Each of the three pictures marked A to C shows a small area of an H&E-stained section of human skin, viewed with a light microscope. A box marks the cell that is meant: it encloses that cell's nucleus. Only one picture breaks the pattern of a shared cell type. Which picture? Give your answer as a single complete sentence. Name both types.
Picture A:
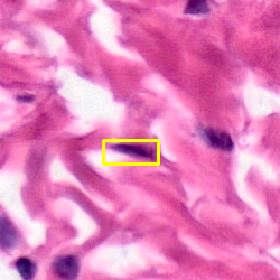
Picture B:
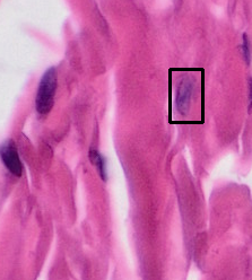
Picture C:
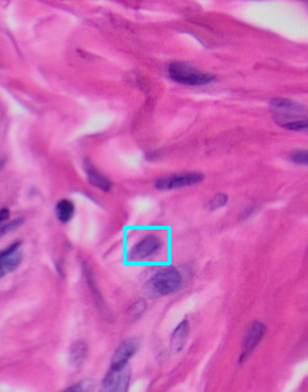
Picture C is the odd one out: it shows an endothelial cell, while the others show fibroblasts.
